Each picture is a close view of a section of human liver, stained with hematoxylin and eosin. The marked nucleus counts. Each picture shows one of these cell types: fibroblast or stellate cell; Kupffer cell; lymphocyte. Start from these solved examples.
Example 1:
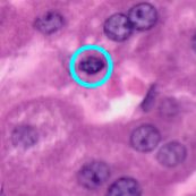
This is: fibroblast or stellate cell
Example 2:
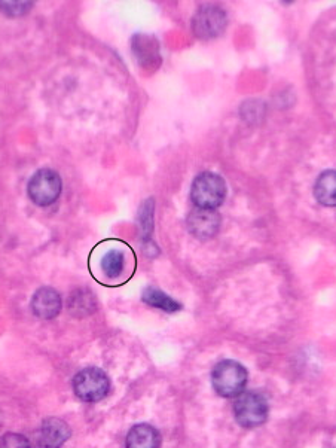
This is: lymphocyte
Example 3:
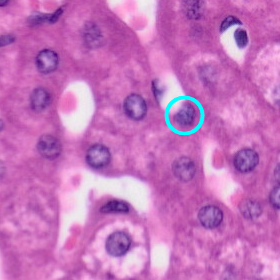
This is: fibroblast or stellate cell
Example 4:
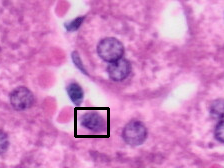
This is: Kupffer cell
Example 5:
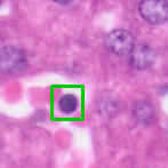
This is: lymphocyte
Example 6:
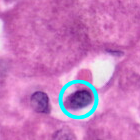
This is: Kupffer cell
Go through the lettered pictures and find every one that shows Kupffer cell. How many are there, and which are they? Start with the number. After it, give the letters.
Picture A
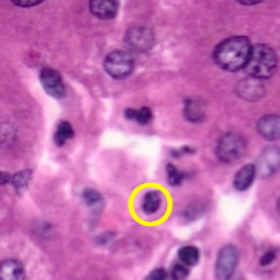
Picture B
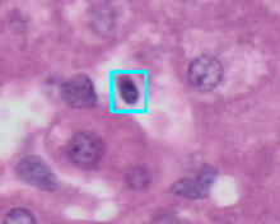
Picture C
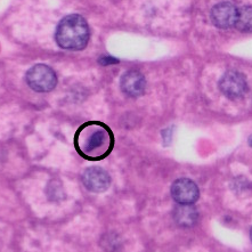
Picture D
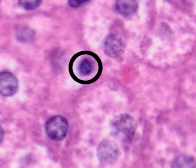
0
